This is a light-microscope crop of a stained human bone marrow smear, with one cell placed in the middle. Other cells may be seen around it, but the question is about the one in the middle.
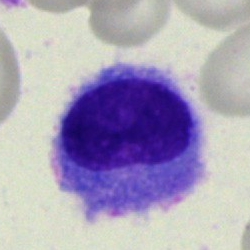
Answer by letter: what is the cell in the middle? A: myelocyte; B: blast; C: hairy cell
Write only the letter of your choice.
C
